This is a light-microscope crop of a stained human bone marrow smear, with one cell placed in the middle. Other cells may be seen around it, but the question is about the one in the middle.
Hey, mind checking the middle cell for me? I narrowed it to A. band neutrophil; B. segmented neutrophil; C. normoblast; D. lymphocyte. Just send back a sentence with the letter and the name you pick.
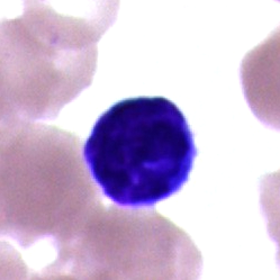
The cell centered in the crop is a lymphocyte, making option D the correct pick.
